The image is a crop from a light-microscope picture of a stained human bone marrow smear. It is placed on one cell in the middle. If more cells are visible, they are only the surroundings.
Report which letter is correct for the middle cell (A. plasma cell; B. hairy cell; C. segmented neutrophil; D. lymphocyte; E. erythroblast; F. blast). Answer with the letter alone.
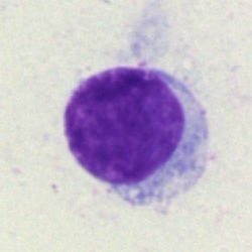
B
